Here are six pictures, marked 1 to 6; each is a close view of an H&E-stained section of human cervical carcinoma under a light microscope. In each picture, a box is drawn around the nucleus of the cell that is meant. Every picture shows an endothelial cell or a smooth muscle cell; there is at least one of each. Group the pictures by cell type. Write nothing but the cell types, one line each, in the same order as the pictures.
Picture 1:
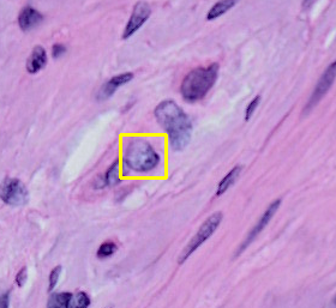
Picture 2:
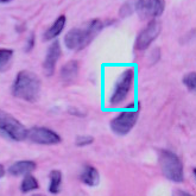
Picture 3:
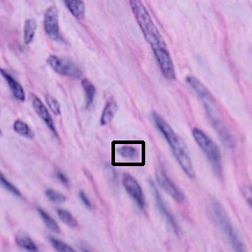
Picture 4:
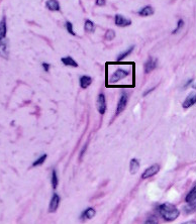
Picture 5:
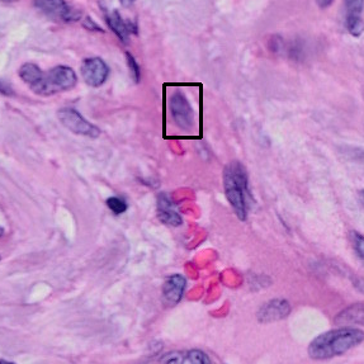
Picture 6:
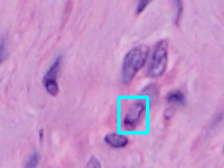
endothelial cell
endothelial cell
smooth muscle cell
smooth muscle cell
endothelial cell
endothelial cell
